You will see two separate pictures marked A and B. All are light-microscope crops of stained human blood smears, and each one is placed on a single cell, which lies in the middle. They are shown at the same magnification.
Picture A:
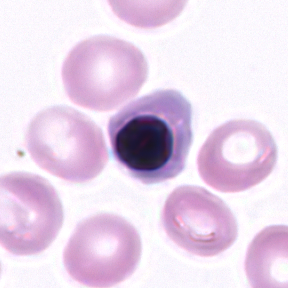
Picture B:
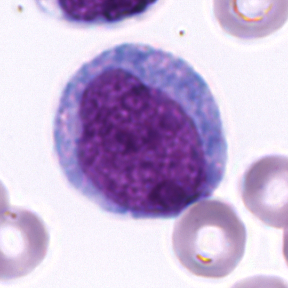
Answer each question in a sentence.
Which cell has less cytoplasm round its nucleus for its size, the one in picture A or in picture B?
In picture B the nucleus takes up the larger part of its cell.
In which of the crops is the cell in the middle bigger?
It is the cell in picture B, about 4 times as large in area as the cell in picture A.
